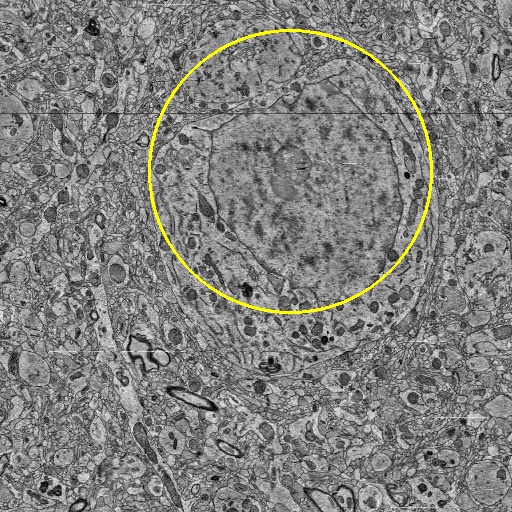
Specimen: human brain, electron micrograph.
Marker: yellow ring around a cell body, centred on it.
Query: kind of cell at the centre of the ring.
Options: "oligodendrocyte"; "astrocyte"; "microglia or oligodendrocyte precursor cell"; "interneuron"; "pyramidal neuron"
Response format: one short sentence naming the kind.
This cell body belongs to an interneuron.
